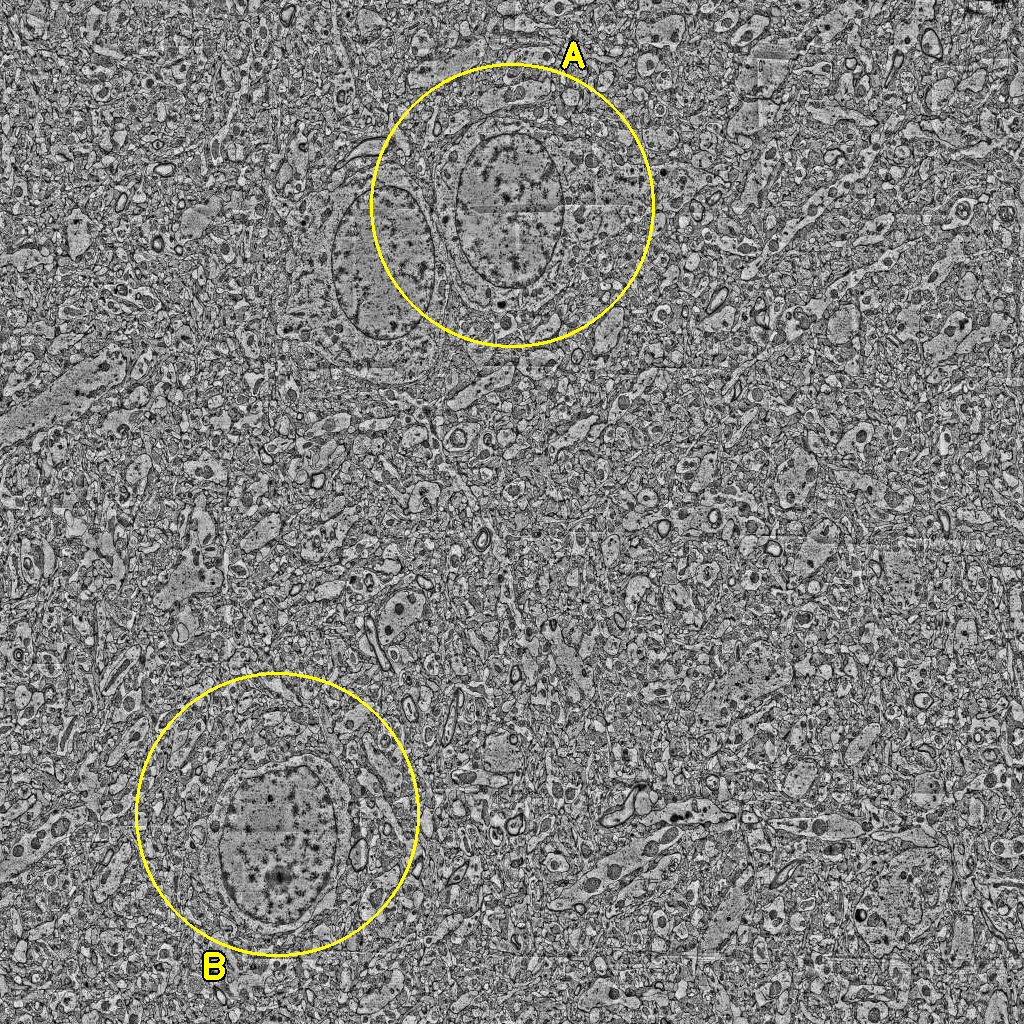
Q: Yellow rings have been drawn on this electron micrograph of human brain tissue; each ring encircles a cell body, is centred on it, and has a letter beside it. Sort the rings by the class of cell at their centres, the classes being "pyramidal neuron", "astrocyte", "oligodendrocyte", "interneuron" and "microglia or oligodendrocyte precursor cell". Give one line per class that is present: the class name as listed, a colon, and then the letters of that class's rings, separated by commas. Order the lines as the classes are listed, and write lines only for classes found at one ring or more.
pyramidal neuron: A
interneuron: B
